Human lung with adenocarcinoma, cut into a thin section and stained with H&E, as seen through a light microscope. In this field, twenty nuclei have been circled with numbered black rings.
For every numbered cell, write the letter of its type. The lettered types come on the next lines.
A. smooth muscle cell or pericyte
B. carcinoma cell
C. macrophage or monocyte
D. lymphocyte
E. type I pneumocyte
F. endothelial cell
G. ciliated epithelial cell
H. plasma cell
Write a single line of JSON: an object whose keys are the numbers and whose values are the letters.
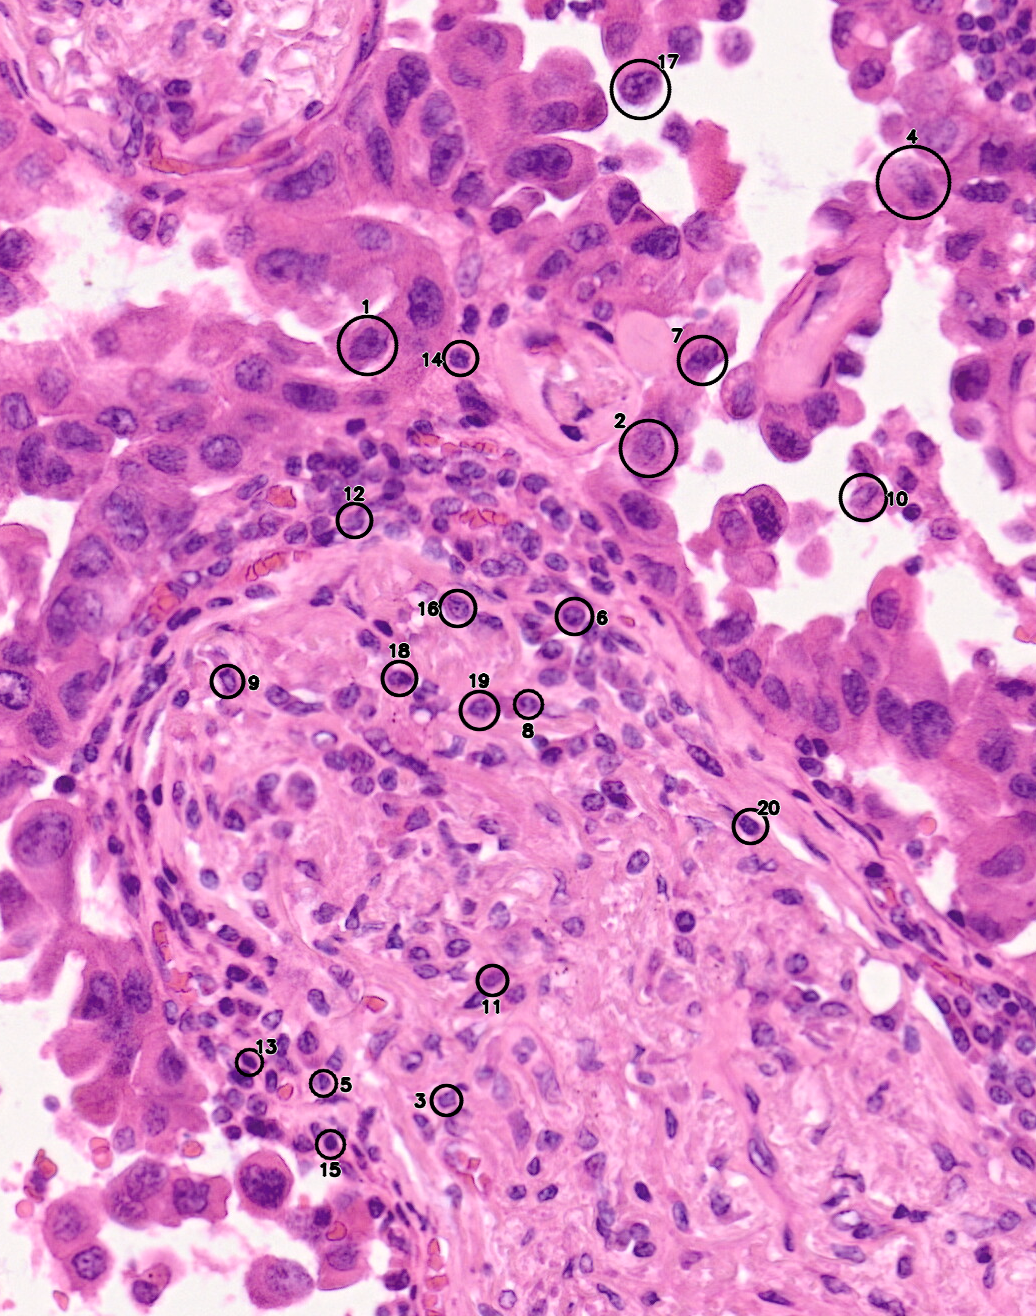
{"1": "B", "2": "B", "3": "D", "4": "B", "5": "D", "6": "H", "7": "B", "8": "H", "9": "H", "10": "C", "11": "H", "12": "D", "13": "D", "14": "D", "15": "D", "16": "H", "17": "B", "18": "H", "19": "H", "20": "D"}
